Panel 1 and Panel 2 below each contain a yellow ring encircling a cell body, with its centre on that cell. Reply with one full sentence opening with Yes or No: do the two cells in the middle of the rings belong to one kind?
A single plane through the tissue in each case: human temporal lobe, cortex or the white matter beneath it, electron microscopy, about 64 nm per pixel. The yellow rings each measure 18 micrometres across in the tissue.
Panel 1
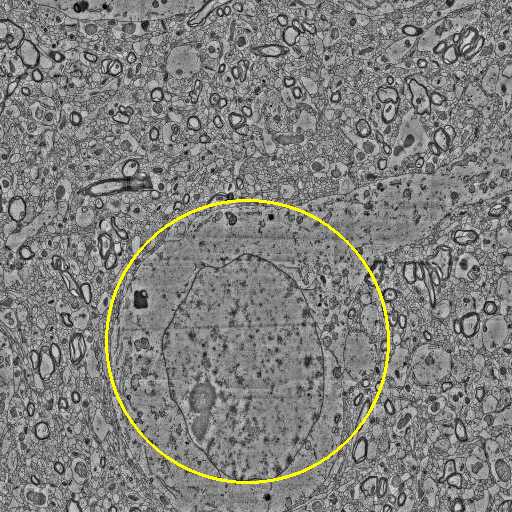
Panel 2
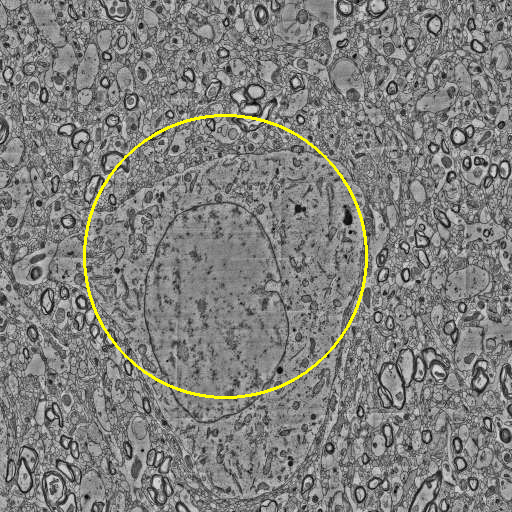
Yes, the cells at the middle of the Panel 1 ring and the Panel 2 ring are of one kind.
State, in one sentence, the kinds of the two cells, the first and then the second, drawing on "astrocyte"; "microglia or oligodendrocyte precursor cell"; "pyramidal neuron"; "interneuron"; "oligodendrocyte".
Each of the two cells is a pyramidal neuron.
